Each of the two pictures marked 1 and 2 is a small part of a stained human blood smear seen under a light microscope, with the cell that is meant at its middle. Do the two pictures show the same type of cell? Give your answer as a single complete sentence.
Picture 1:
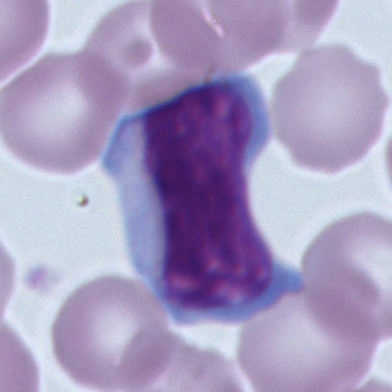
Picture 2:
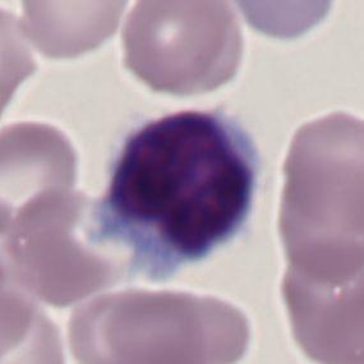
No; the cell in picture 1 is a typical lymphocyte, while the one in picture 2 is a hairy cell.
